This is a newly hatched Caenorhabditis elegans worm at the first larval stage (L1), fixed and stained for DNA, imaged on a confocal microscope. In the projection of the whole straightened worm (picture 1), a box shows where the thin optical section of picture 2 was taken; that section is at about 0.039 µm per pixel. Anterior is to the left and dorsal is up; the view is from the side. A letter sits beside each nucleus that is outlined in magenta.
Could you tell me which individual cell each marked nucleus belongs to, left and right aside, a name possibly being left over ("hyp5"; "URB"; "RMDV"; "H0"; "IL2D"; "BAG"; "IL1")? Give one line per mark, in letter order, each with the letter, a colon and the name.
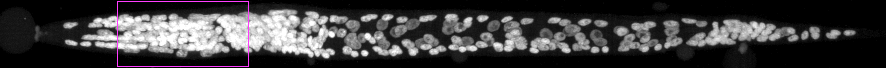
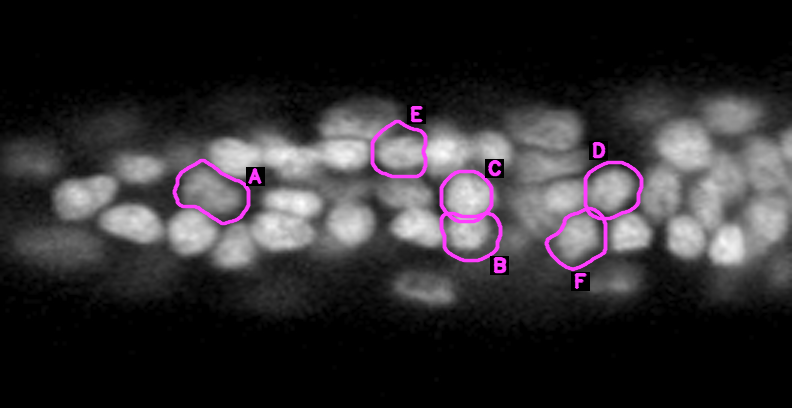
A: H0
B: IL1
C: URB
D: RMDV
E: IL2D
F: BAG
